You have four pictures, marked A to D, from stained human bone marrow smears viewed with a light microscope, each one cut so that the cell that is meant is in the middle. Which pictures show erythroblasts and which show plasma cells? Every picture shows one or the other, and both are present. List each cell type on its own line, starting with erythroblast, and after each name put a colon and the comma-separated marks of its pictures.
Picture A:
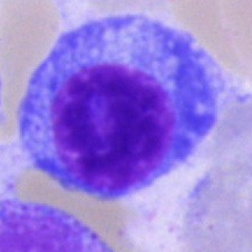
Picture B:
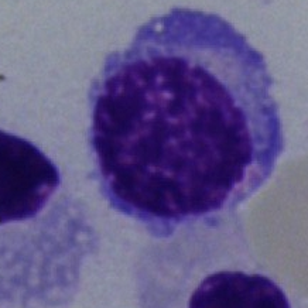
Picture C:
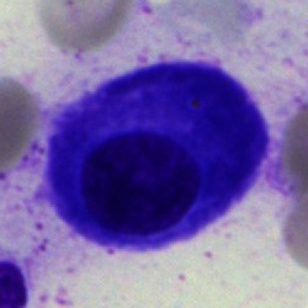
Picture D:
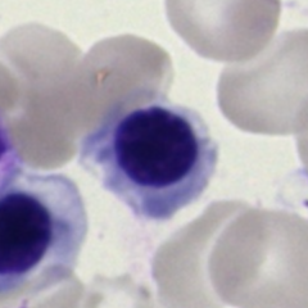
erythroblast: D
plasma cell: A, B, C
